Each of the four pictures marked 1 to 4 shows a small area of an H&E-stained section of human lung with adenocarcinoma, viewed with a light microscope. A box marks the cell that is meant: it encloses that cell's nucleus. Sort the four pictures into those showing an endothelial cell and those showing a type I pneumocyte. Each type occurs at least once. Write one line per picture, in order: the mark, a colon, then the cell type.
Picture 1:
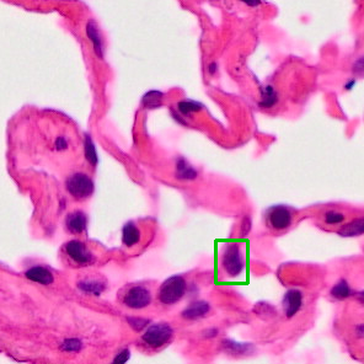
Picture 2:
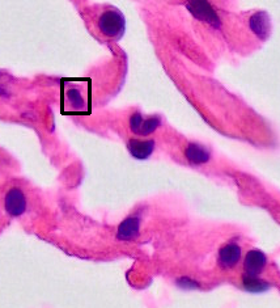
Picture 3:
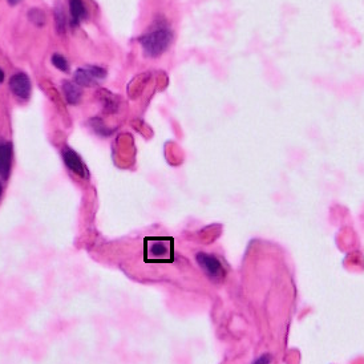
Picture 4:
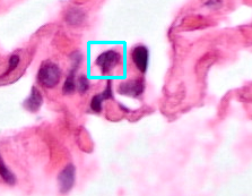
1: type I pneumocyte
2: endothelial cell
3: endothelial cell
4: type I pneumocyte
